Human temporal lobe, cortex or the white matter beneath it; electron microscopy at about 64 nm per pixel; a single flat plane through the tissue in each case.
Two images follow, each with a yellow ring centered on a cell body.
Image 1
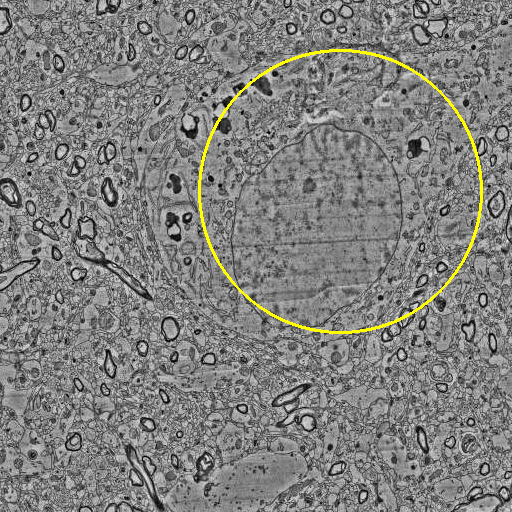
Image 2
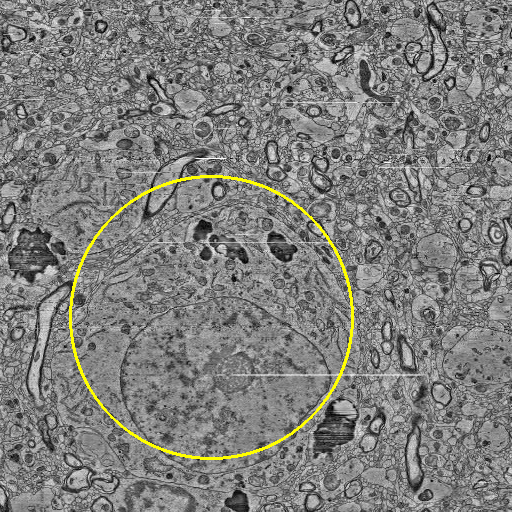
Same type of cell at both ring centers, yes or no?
no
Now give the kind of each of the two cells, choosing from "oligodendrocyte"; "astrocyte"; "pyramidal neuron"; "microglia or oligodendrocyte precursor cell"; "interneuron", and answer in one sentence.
The cell in the first picture is a pyramidal neuron, and the cell in the second is an interneuron.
